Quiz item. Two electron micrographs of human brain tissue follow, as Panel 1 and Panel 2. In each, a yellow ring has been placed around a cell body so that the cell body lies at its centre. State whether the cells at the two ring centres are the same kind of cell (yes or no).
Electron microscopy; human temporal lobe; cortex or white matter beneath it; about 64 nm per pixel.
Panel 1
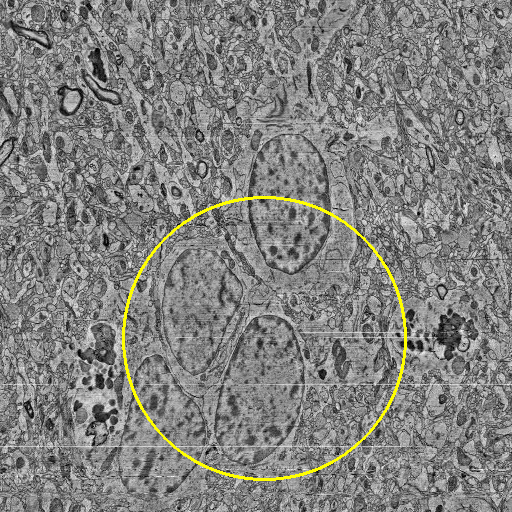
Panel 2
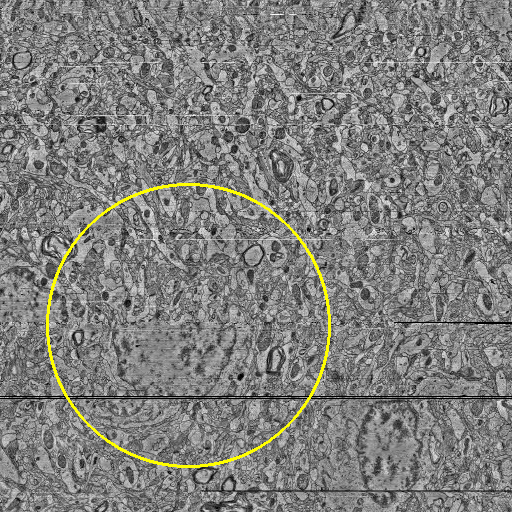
no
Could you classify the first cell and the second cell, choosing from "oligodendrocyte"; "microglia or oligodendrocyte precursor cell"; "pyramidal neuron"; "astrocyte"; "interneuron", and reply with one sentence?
The second cell is an interneuron, while the first is an astrocyte.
